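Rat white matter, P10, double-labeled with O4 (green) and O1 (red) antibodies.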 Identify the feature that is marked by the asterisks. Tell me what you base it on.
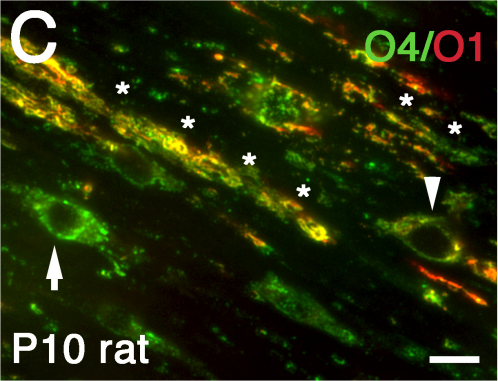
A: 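Elongated yellow and red segments run in parallel along the fiber direction. The marked segments are tubular and not cell bodies. The answer: myelin sheaths.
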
